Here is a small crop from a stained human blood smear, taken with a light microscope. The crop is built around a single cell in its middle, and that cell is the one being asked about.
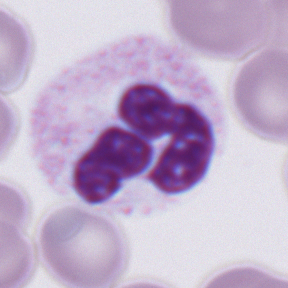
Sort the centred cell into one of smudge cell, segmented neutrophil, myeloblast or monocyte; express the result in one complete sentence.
For this crop, the central cell is a segmented neutrophil.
